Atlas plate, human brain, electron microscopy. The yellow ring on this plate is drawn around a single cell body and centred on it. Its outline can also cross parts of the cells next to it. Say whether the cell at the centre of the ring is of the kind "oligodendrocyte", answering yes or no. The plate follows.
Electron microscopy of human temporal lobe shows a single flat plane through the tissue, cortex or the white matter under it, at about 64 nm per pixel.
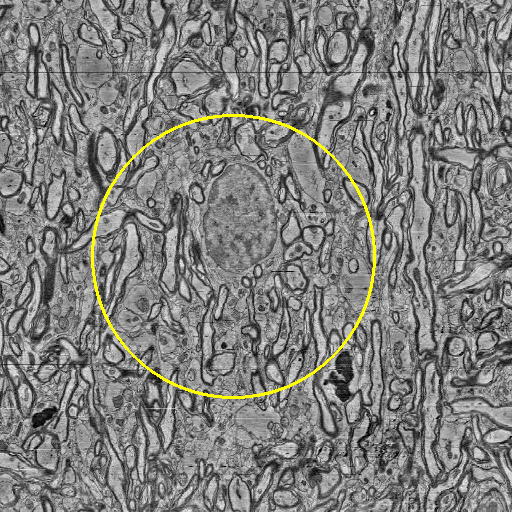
Yes, the cell is of that kind.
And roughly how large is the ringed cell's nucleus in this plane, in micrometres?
In this plane, approximately 7 by 5 micrometers.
